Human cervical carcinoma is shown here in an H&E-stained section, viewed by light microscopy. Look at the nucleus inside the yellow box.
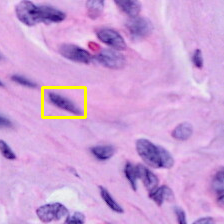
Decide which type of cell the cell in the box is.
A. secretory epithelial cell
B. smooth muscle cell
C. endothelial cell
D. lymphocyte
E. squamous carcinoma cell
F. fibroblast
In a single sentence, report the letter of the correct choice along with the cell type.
In the section, the cell in the box is a fibroblast, and option F is correct accordingly.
